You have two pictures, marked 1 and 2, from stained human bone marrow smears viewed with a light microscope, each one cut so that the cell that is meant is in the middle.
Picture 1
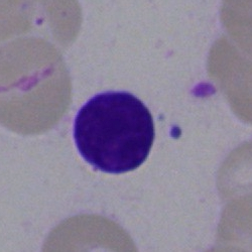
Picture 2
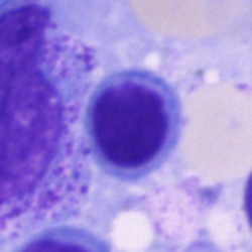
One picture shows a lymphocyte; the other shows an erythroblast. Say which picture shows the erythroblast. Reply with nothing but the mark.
2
